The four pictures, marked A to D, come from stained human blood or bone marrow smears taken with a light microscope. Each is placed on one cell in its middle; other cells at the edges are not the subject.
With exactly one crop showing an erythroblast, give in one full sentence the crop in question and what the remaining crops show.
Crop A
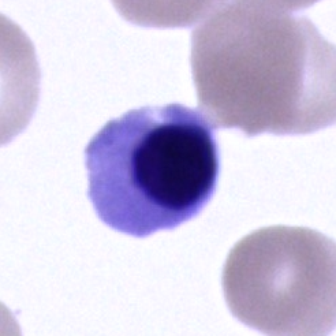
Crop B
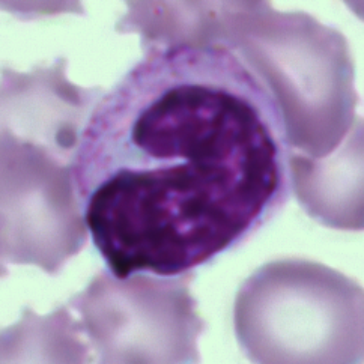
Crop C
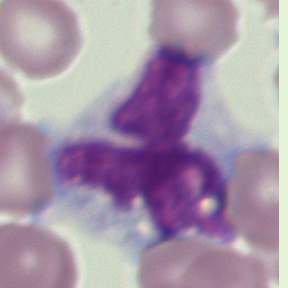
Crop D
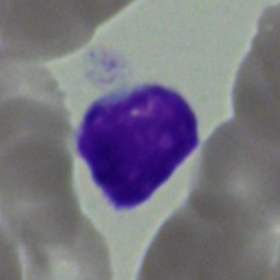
Crop A goes down as an erythroblast, while crop B is a band neutrophil, crop C is a monocyte and crop D is a lymphocyte.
